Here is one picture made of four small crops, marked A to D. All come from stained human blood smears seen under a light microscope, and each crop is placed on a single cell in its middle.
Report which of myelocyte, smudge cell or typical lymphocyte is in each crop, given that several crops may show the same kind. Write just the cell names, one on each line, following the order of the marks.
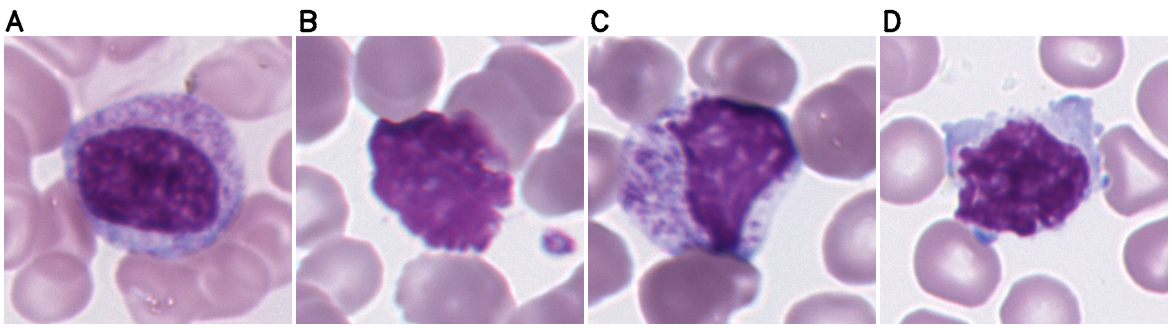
myelocyte
smudge cell
myelocyte
typical lymphocyte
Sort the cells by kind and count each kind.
myelocyte: 2
smudge cell: 1
typical lymphocyte: 1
